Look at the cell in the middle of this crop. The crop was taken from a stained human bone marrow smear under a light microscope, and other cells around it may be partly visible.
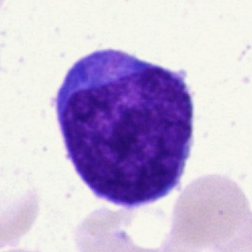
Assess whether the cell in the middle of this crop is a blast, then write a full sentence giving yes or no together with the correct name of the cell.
Yes, the middle cell in this crop is a blast.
